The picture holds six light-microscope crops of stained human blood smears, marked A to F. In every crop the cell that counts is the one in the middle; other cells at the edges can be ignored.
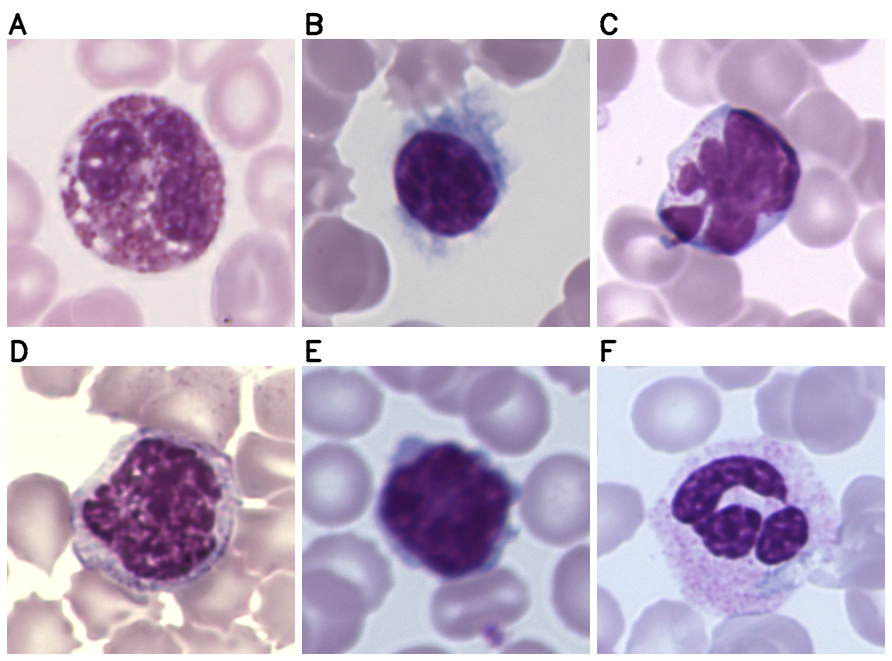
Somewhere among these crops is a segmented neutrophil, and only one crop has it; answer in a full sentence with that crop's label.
The one crop in the set with a segmented neutrophil is crop F.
